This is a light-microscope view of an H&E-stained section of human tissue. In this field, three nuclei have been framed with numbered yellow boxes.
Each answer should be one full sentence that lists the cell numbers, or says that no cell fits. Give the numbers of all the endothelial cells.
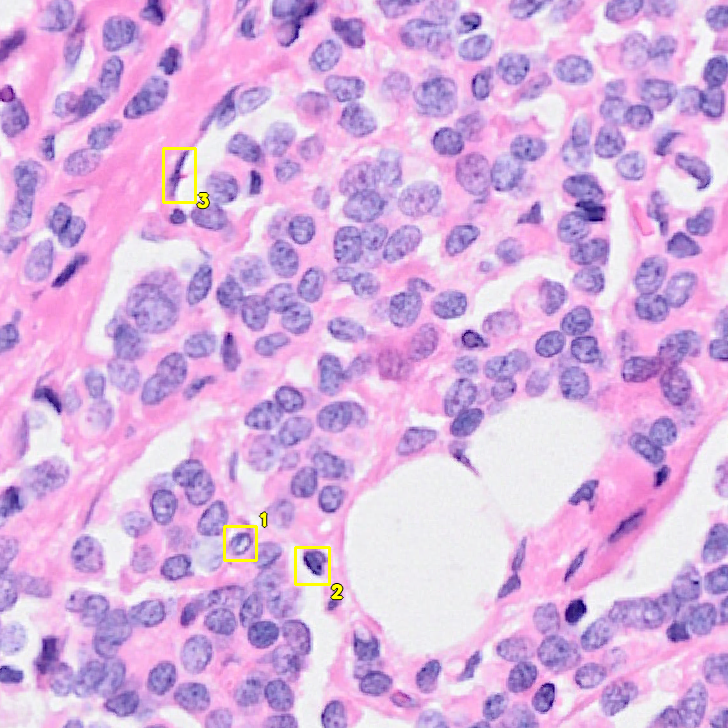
Just one numbered cell is an endothelial cell, and that cell is number 1.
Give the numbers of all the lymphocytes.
The nucleus numbered 2 is the only one that belongs to a lymphocyte.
